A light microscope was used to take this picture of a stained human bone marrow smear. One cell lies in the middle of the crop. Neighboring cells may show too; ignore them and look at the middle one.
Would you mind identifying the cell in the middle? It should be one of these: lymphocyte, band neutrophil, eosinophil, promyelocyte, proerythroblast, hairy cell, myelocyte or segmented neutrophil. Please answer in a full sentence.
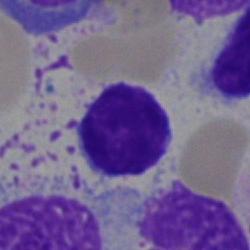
What sits at the centre of this crop is a lymphocyte.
